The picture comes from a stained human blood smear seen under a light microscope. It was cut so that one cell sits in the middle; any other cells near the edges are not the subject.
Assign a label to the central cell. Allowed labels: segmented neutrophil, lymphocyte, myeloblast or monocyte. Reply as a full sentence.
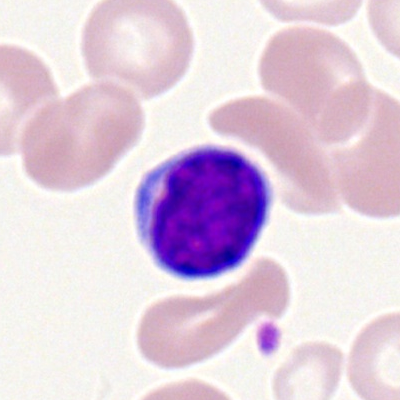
The cell in the middle of this crop is a lymphocyte.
